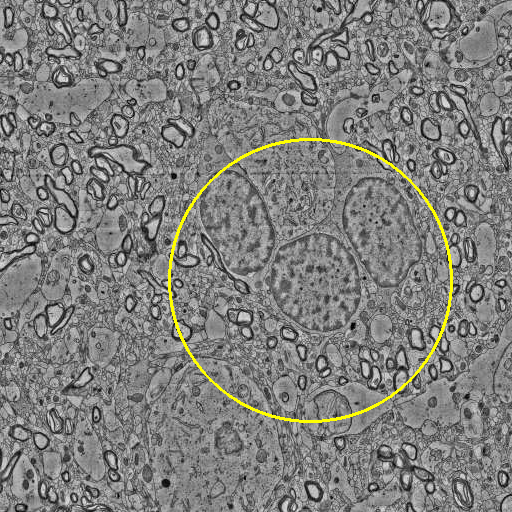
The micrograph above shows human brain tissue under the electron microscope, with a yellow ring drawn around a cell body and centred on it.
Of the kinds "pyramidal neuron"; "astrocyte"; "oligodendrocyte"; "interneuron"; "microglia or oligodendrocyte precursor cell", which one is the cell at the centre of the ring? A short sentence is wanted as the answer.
The one at the centre of the ring is an oligodendrocyte.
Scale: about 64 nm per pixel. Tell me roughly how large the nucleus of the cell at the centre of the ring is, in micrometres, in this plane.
In this plane the nucleus measures roughly 6 micrometres across.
